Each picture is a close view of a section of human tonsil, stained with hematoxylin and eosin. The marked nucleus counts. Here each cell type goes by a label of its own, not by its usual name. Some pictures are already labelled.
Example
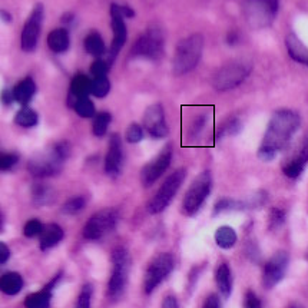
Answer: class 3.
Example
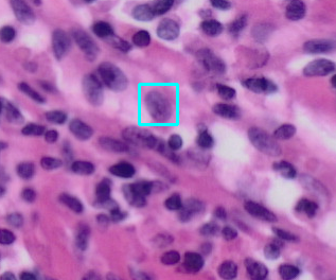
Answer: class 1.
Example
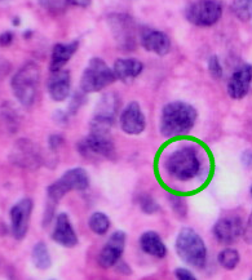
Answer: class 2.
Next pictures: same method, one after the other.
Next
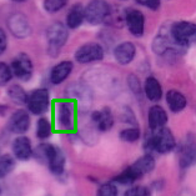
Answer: class 1.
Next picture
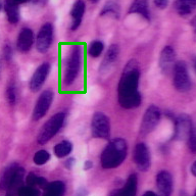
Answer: class 3.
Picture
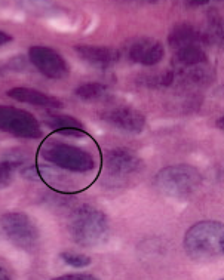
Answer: class 3.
